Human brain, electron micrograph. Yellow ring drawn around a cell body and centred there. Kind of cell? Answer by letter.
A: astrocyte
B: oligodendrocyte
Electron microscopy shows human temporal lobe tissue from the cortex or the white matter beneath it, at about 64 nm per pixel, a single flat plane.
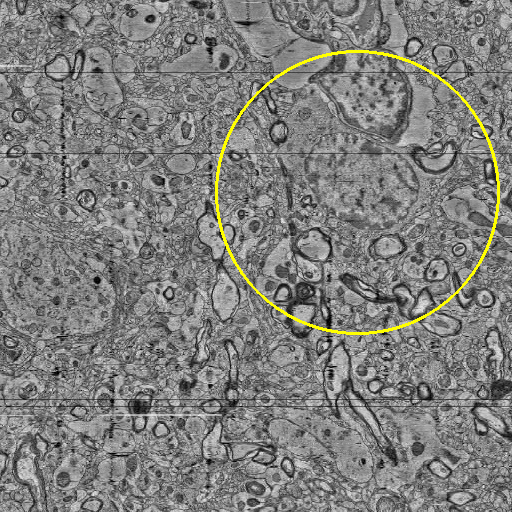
B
